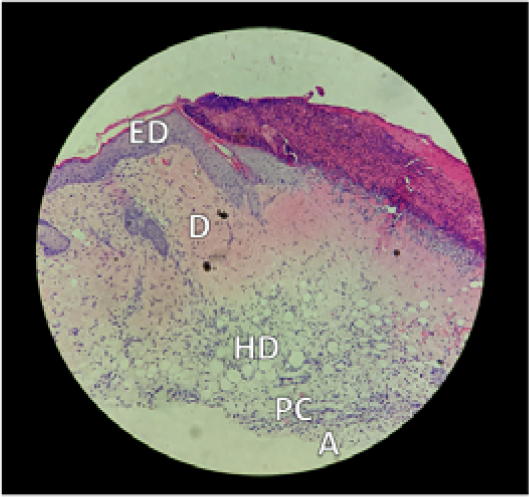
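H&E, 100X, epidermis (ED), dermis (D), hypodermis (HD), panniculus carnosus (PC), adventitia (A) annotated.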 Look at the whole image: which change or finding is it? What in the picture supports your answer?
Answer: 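A thin purple epidermis is still present along part of the surface. Beside it a thick, densely purple-stained crust of damaged tissue covers the surface. The underlying dermis looks pale and washed out. That points to this answer: partial dermonecrosis.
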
